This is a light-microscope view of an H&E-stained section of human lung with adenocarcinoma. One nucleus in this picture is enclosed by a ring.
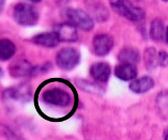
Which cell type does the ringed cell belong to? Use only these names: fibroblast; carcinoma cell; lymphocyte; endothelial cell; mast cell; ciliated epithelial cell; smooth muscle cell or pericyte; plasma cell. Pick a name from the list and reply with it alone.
plasma cell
